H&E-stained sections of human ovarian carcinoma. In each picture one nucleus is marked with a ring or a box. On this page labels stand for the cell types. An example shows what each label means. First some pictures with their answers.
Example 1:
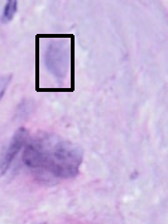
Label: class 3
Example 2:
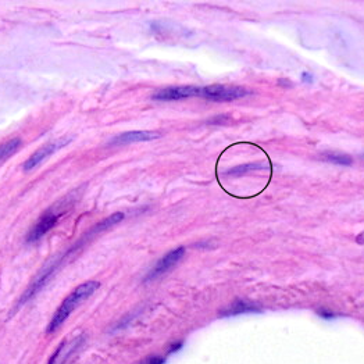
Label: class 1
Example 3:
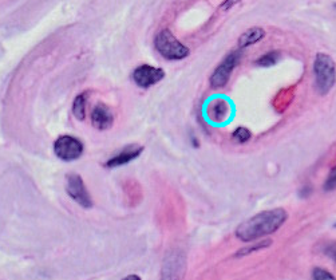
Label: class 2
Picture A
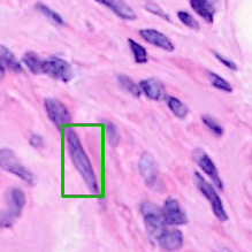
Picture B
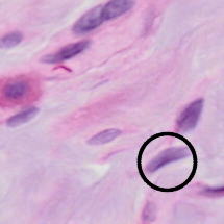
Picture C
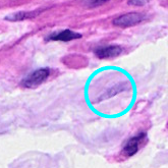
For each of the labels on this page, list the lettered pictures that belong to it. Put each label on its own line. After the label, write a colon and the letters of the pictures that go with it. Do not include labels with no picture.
class 3: B, C
class 1: A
